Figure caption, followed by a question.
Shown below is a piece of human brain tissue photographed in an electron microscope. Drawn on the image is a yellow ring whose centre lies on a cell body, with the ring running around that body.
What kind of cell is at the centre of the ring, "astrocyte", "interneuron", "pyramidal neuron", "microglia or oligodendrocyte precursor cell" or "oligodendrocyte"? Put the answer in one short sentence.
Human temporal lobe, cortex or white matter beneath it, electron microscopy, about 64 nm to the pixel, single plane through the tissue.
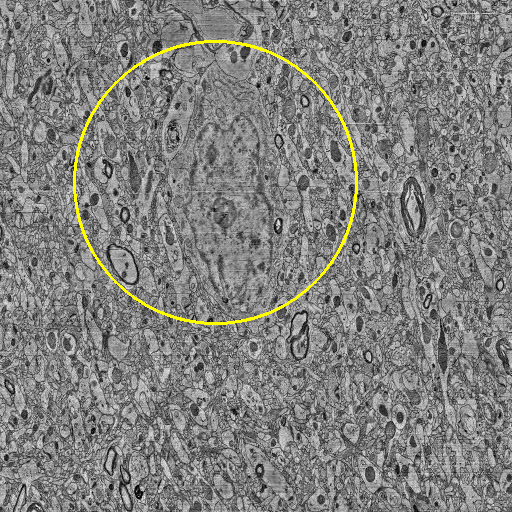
The ring marks the cell body of an interneuron.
